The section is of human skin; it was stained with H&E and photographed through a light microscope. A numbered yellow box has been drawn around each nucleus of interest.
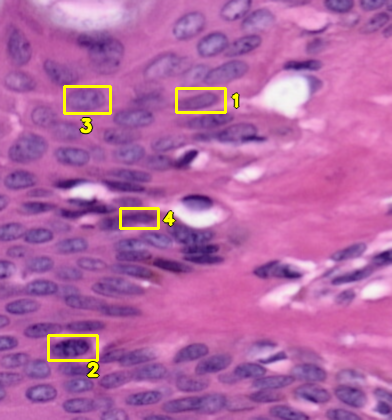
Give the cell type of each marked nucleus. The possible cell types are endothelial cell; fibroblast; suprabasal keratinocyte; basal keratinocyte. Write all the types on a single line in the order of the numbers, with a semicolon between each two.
basal keratinocyte; basal keratinocyte; suprabasal keratinocyte; basal keratinocyte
